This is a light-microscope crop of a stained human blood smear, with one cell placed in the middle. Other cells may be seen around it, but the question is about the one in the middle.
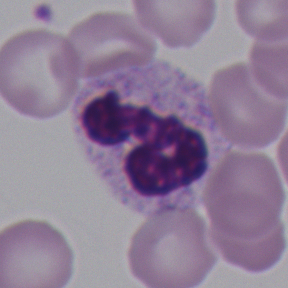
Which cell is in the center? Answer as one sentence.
The cell the crop is centered on is a neutrophil.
